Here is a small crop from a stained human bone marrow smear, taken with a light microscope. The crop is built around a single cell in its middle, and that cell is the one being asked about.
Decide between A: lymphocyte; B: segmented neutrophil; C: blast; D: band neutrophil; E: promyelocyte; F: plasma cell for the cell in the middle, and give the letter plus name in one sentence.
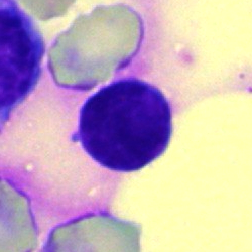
The cell right in the middle is a lymphocyte, so option A is the one.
